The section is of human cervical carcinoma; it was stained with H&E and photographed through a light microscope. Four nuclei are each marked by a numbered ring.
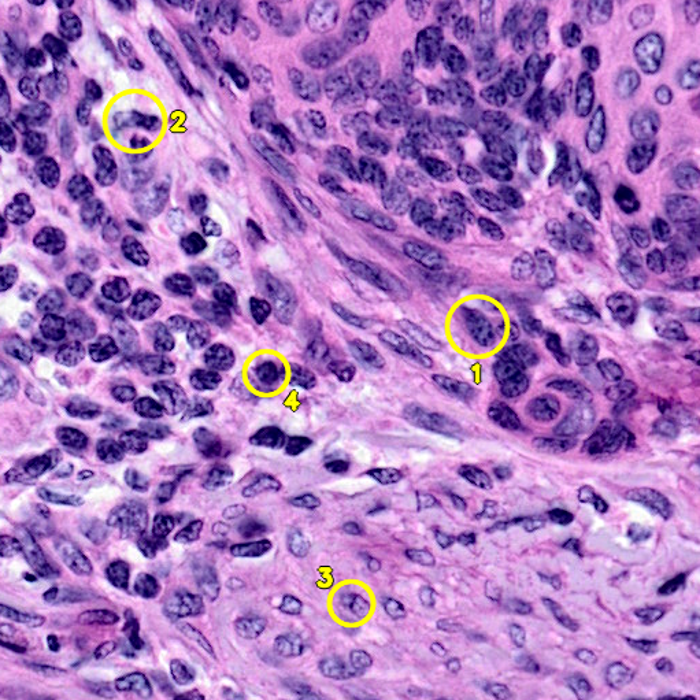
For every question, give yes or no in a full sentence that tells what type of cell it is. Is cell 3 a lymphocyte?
No, cell 3 represents a smooth muscle cell rather than a lymphocyte.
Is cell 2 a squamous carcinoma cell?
No, sorry, the cell labelled 2 is not a squamous carcinoma cell; it is a lymphocyte.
